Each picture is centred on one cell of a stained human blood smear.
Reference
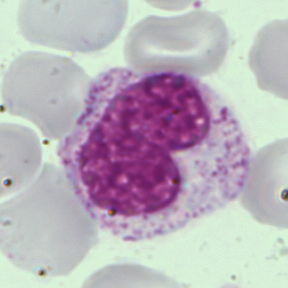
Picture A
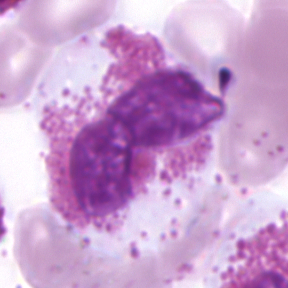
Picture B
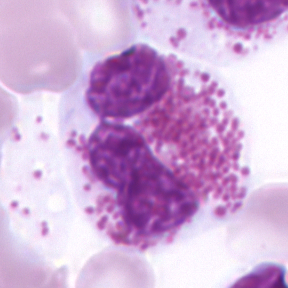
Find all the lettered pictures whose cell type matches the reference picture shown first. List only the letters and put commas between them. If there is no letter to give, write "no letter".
no letter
